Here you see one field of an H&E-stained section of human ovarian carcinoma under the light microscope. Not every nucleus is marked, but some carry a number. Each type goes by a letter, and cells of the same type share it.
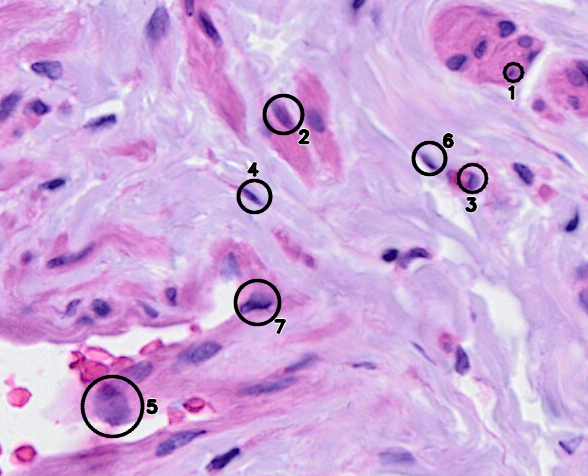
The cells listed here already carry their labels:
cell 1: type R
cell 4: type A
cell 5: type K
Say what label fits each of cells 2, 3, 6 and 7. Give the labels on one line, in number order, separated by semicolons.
type R; type K; type A; type K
